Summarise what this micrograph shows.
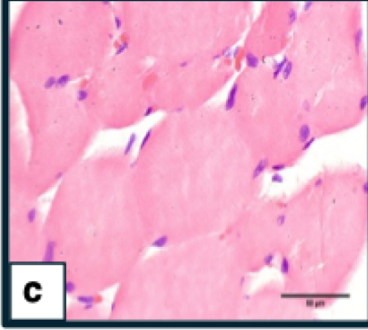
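This is skeletal muscle in cross-section, with large rounded to polygonal muscle fibres that fill most of the field. The fibre cytoplasm stains an even, homogeneous pink. Small, elongated purple nuclei lie at the fibre margins and in the narrow spaces between fibres. A few small red-stained blood cells are seen in the thin spaces between fibres near the top.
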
